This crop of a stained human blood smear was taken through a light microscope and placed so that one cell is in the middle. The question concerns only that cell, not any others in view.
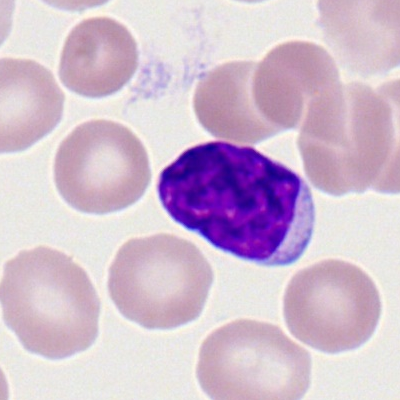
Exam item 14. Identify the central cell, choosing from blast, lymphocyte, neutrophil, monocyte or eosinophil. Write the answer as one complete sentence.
What sits at the centre of this crop is a lymphocyte.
